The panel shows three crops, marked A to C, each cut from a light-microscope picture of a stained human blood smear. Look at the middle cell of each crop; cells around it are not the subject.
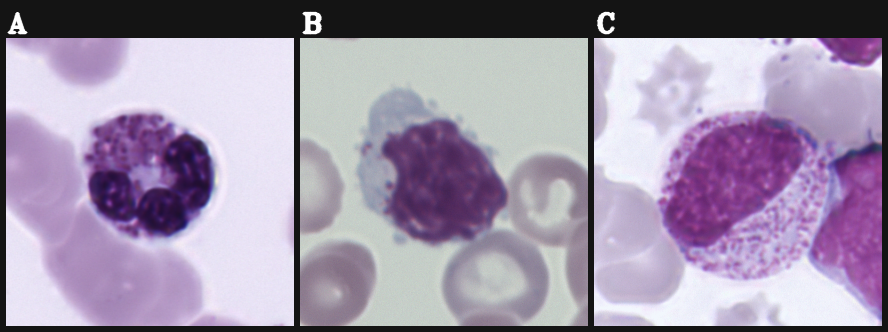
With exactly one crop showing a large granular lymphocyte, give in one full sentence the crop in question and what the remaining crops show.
While crop A is an eosinophil and crop C is a myelocyte, crop B shows a large granular lymphocyte.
